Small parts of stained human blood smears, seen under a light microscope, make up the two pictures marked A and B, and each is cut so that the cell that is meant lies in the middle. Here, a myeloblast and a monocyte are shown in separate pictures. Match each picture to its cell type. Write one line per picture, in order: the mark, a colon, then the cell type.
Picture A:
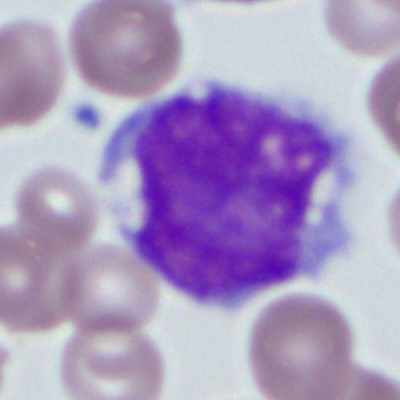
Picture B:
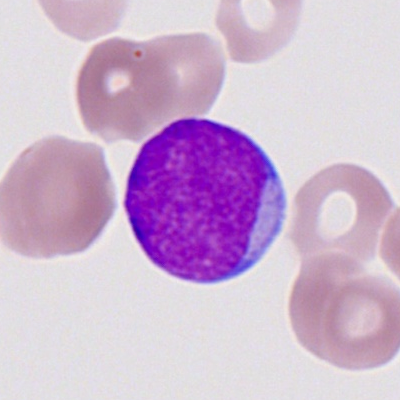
A: monocyte
B: myeloblast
